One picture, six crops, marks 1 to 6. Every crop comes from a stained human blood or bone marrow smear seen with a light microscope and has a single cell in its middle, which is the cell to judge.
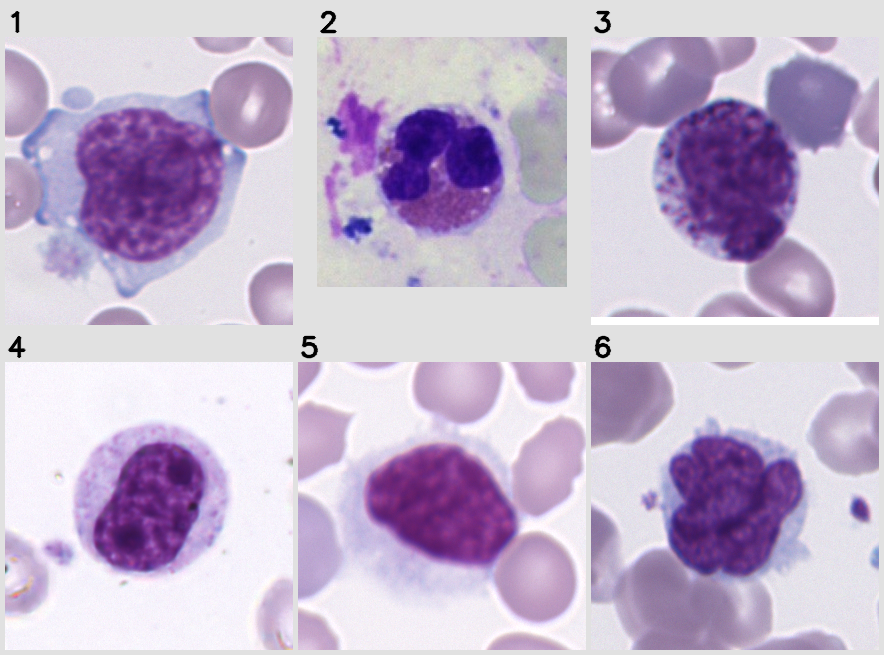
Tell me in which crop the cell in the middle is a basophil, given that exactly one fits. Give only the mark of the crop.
3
